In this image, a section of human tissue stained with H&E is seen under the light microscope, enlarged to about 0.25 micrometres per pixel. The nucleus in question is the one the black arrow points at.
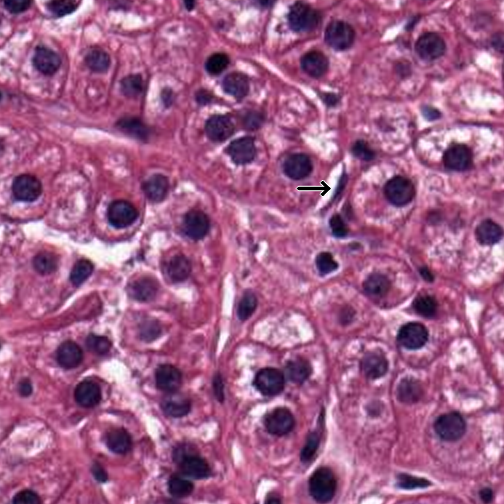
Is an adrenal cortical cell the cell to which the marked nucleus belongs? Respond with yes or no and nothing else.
no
